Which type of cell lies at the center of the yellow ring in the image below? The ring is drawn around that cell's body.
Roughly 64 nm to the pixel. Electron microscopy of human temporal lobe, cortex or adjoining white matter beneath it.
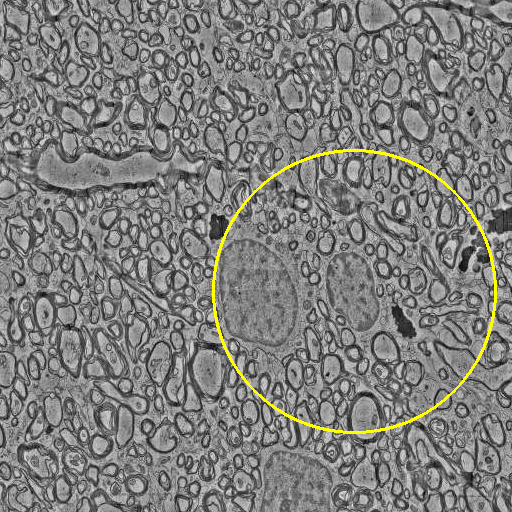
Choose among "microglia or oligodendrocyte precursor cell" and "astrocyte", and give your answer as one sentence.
The cell body at the center belongs to a microglial cell or oligodendrocyte precursor cell.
